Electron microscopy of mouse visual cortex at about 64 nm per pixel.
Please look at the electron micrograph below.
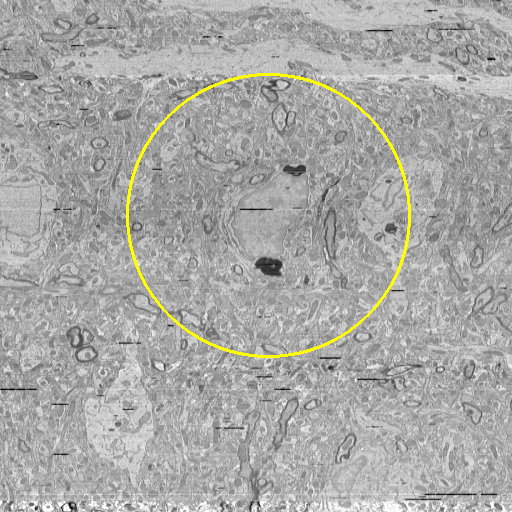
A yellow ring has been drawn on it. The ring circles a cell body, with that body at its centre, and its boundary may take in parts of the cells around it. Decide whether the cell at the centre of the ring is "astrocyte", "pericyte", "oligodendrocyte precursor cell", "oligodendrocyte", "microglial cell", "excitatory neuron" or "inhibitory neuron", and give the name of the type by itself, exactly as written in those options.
microglial cell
